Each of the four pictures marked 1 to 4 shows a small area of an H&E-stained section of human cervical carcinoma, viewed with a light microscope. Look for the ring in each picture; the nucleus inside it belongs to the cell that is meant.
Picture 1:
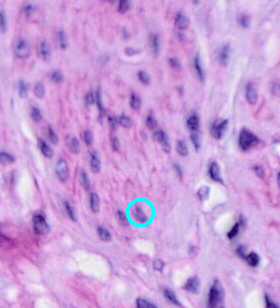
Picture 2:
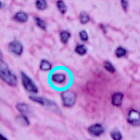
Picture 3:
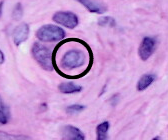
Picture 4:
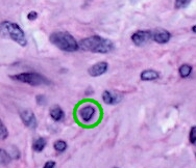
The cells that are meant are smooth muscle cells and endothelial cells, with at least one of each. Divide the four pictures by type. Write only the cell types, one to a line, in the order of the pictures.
smooth muscle cell
smooth muscle cell
endothelial cell
smooth muscle cell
